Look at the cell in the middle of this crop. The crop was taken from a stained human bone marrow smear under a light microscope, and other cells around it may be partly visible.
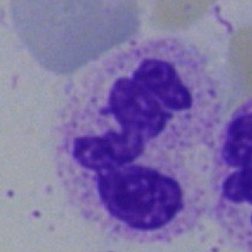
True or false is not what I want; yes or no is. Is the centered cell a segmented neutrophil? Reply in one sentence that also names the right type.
Yes, that middle cell in the crop is a segmented neutrophil.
